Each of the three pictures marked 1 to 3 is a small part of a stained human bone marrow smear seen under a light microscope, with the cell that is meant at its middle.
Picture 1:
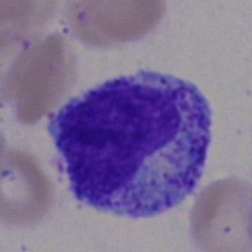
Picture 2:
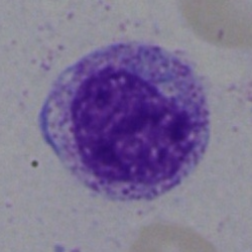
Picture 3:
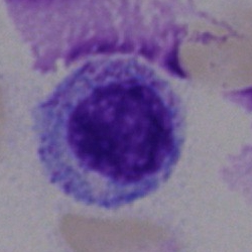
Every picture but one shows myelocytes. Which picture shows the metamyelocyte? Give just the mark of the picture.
1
